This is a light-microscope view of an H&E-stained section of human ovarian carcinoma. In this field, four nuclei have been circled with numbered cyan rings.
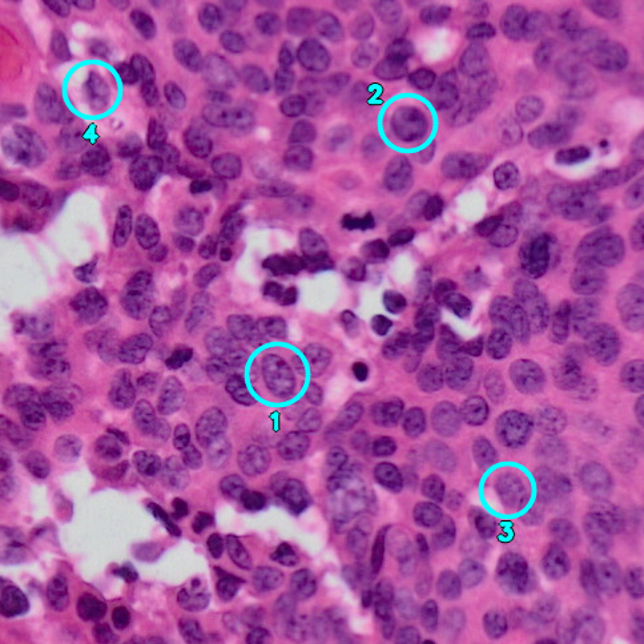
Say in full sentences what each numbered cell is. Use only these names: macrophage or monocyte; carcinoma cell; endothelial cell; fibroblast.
Cells 1, 2 and 3 are carcinoma cells. Cell 4 is a macrophage or monocyte.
